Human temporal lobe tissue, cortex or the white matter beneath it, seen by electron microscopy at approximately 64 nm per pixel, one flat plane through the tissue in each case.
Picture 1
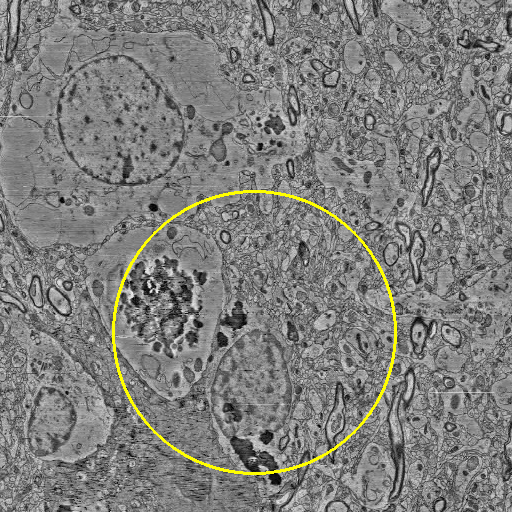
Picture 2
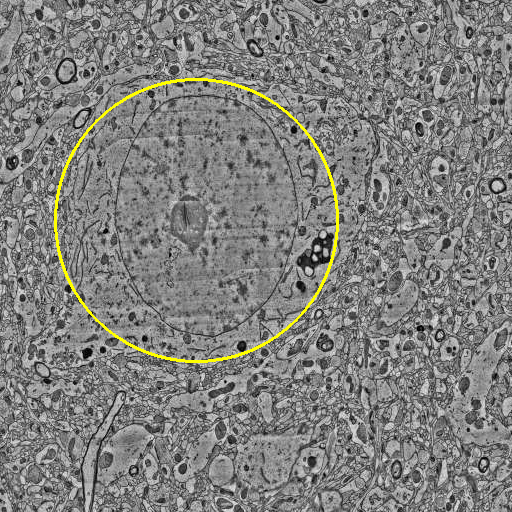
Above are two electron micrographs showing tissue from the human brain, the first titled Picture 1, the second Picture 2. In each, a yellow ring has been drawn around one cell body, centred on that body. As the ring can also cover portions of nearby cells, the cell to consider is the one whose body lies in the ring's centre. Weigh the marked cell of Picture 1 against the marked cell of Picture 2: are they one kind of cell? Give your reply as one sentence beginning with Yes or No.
No, the two cells sitting at the ring centres in the pictures are of two kinds.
